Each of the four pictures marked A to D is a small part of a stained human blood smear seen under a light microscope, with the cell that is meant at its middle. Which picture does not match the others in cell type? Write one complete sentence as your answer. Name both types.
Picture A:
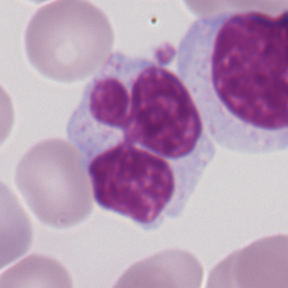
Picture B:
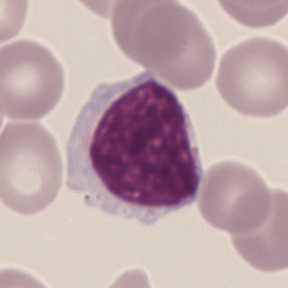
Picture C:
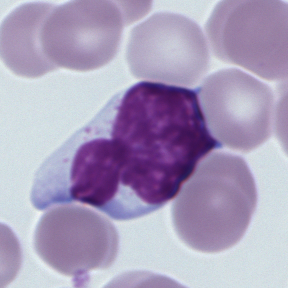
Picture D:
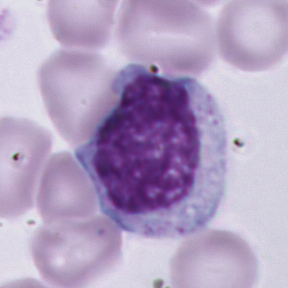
Unlike the rest, which show large granular lymphocytes, picture D shows a myelocyte.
